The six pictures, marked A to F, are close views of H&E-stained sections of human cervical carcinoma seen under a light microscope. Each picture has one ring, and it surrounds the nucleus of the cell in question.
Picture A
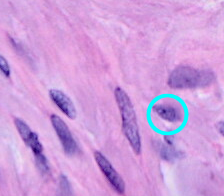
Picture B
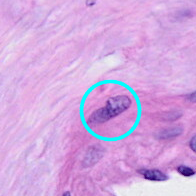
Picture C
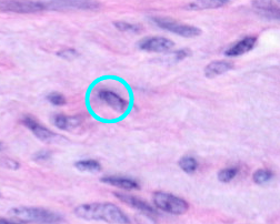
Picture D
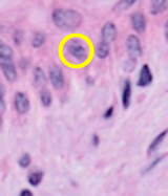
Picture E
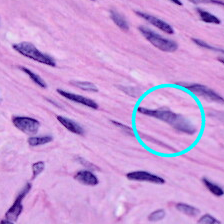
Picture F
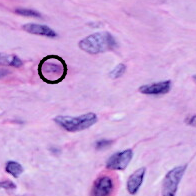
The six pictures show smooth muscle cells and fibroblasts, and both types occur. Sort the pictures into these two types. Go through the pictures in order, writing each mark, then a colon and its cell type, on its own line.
A: fibroblast
B: smooth muscle cell
C: smooth muscle cell
D: smooth muscle cell
E: fibroblast
F: smooth muscle cell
